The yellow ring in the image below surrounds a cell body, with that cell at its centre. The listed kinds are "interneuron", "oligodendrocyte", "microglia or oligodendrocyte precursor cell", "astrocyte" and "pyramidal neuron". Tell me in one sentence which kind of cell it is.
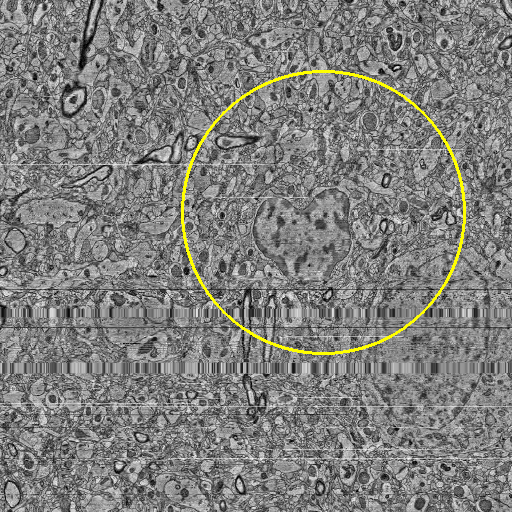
The centre of the ring holds a microglial cell or oligodendrocyte precursor cell.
